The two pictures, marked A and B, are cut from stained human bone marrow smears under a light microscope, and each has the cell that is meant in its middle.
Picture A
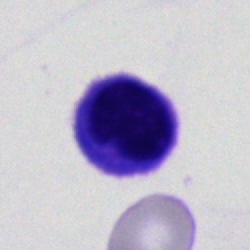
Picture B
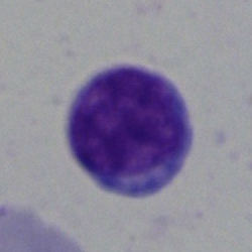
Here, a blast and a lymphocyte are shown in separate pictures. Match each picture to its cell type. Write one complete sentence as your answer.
Picture B shows a blast, while picture A shows a lymphocyte.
